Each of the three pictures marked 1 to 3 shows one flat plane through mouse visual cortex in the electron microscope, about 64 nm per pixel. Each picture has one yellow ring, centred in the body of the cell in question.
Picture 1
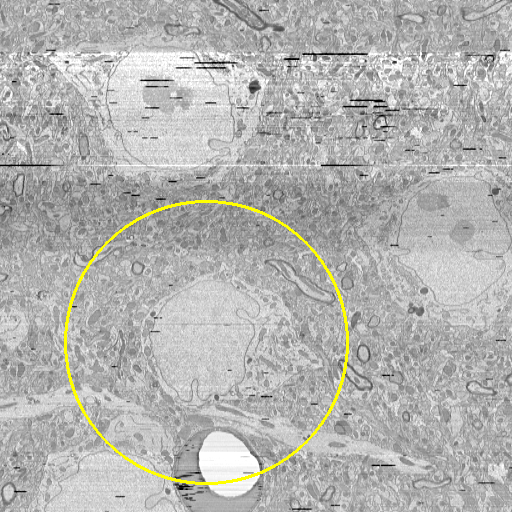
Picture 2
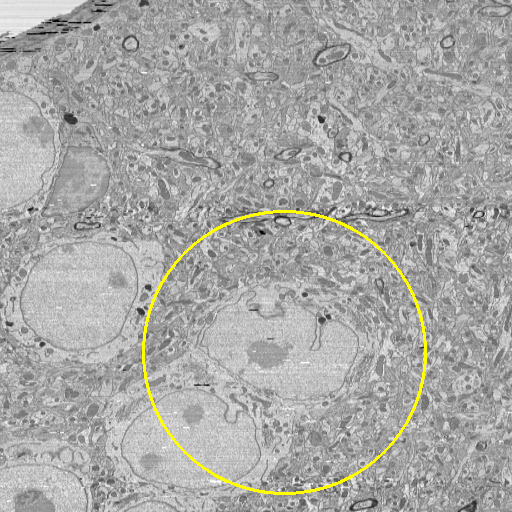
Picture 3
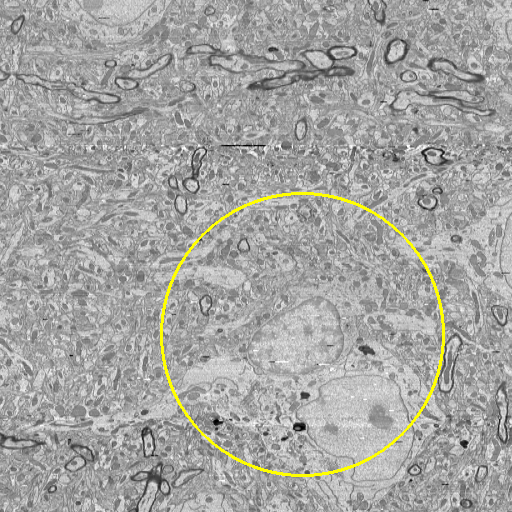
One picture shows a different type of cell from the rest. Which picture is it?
All pictures except 3 show inhibitory neurons; picture 3 shows an oligodendrocyte.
